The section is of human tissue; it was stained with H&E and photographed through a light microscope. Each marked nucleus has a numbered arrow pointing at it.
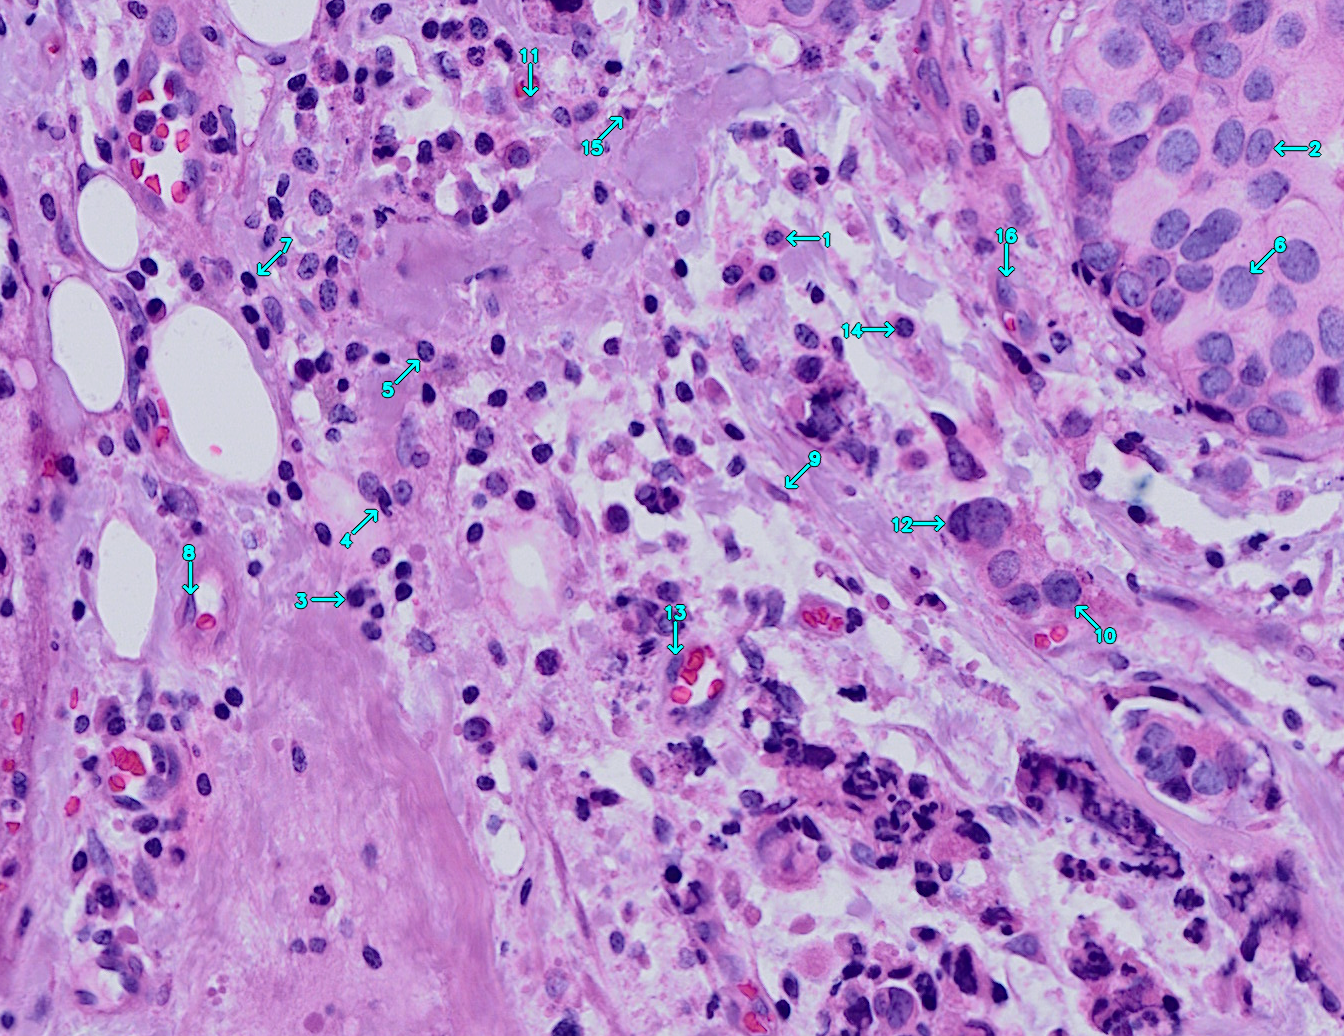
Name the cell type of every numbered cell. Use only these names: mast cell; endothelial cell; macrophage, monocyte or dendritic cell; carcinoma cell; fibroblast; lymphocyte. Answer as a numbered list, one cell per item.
1. mast cell
2. carcinoma cell
3. lymphocyte
4. lymphocyte
5. mast cell
6. carcinoma cell
7. lymphocyte
8. endothelial cell
9. fibroblast
10. carcinoma cell
11. endothelial cell
12. carcinoma cell
13. endothelial cell
14. mast cell
15. macrophage, monocyte or dendritic cell
16. endothelial cell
